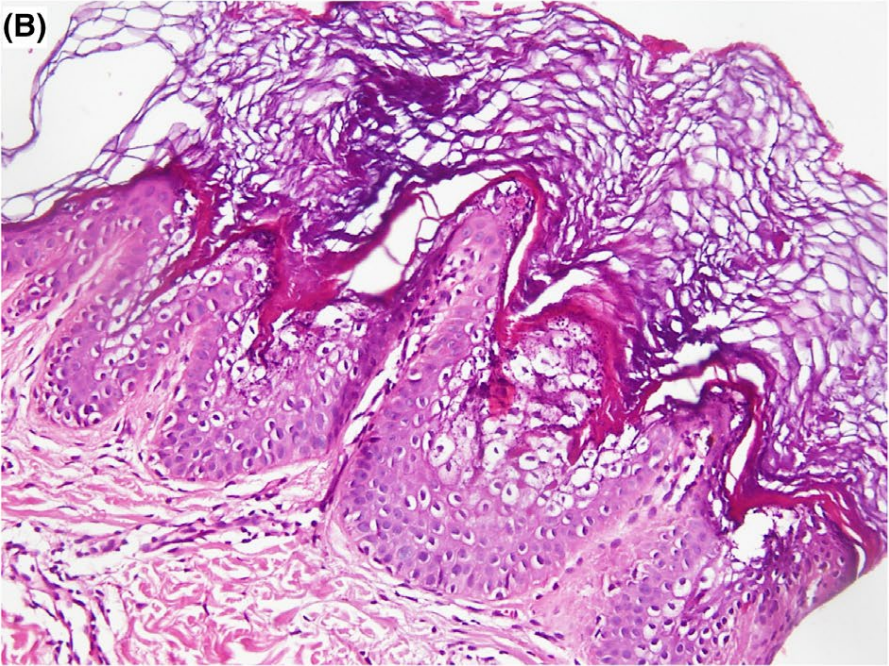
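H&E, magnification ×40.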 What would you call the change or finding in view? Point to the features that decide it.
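Many keratinocytes have clear spaces around their nuclei. Pale, bubbly cells lie in the upper epidermis beneath the keratin.
Hence: vacuolated cells.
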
